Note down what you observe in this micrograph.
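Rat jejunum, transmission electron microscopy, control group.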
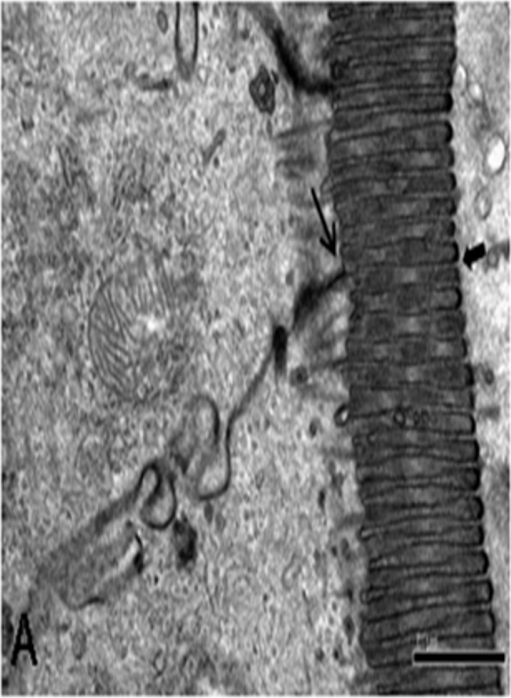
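This is the apical region of neighbouring epithelial cells of the small intestine, seen by electron microscopy, with their brush border of microvilli along the right side. The microvilli are long, straight, evenly spaced and of uniform length, packed side by side into a dense dark band. Where two cells meet just below the brush border, their membranes come together in a dark, dense junction, and the lateral membrane then winds down and to the left in a convoluted course. In the cytoplasm on the left lies a mitochondrion with closely stacked cristae.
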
